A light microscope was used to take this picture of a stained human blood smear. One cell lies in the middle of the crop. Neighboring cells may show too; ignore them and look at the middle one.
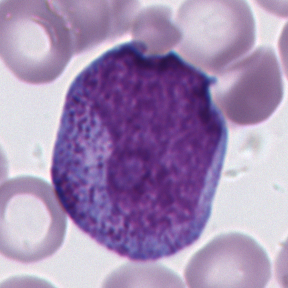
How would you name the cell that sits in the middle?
promyelocyte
